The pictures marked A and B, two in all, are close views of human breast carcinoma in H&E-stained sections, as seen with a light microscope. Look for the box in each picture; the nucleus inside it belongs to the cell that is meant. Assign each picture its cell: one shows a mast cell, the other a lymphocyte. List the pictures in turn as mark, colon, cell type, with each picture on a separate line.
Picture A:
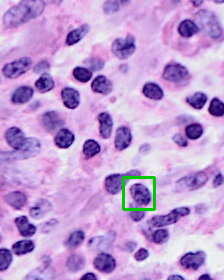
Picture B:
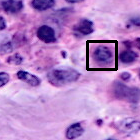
A: lymphocyte
B: mast cell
